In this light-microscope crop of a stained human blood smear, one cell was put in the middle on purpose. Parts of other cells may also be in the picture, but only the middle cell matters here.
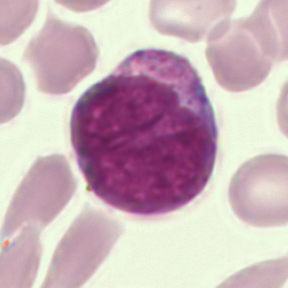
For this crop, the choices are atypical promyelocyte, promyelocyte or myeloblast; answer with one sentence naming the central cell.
Positioned in the middle of the crop is an atypical promyelocyte.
